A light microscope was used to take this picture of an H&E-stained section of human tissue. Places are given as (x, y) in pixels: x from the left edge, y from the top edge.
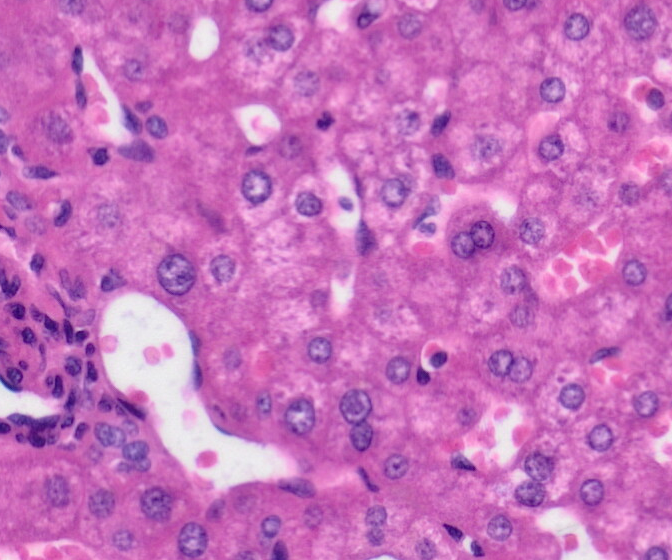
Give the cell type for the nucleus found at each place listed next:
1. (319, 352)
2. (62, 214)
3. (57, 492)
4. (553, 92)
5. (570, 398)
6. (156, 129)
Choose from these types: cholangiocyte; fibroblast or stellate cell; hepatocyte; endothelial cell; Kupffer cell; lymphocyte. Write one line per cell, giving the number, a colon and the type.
1: hepatocyte
2: fibroblast or stellate cell
3: hepatocyte
4: hepatocyte
5: hepatocyte
6: cholangiocyte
